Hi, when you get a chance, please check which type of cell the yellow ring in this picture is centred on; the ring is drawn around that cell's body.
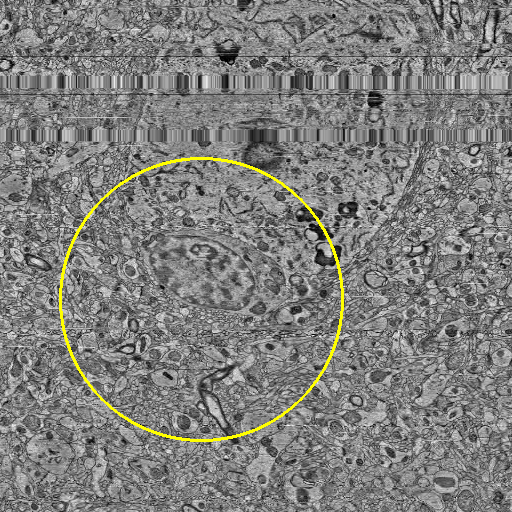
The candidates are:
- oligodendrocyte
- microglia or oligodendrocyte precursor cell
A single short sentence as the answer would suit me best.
The ring is drawn around the body of an oligodendrocyte.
